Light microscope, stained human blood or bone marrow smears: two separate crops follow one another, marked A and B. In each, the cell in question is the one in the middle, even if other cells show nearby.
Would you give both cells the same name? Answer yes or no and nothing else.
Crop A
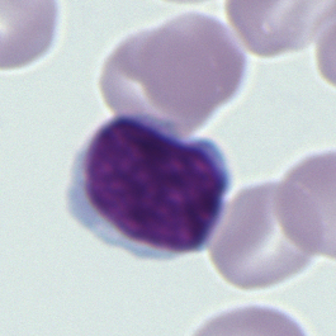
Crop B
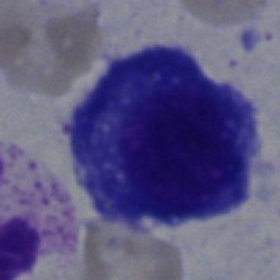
no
